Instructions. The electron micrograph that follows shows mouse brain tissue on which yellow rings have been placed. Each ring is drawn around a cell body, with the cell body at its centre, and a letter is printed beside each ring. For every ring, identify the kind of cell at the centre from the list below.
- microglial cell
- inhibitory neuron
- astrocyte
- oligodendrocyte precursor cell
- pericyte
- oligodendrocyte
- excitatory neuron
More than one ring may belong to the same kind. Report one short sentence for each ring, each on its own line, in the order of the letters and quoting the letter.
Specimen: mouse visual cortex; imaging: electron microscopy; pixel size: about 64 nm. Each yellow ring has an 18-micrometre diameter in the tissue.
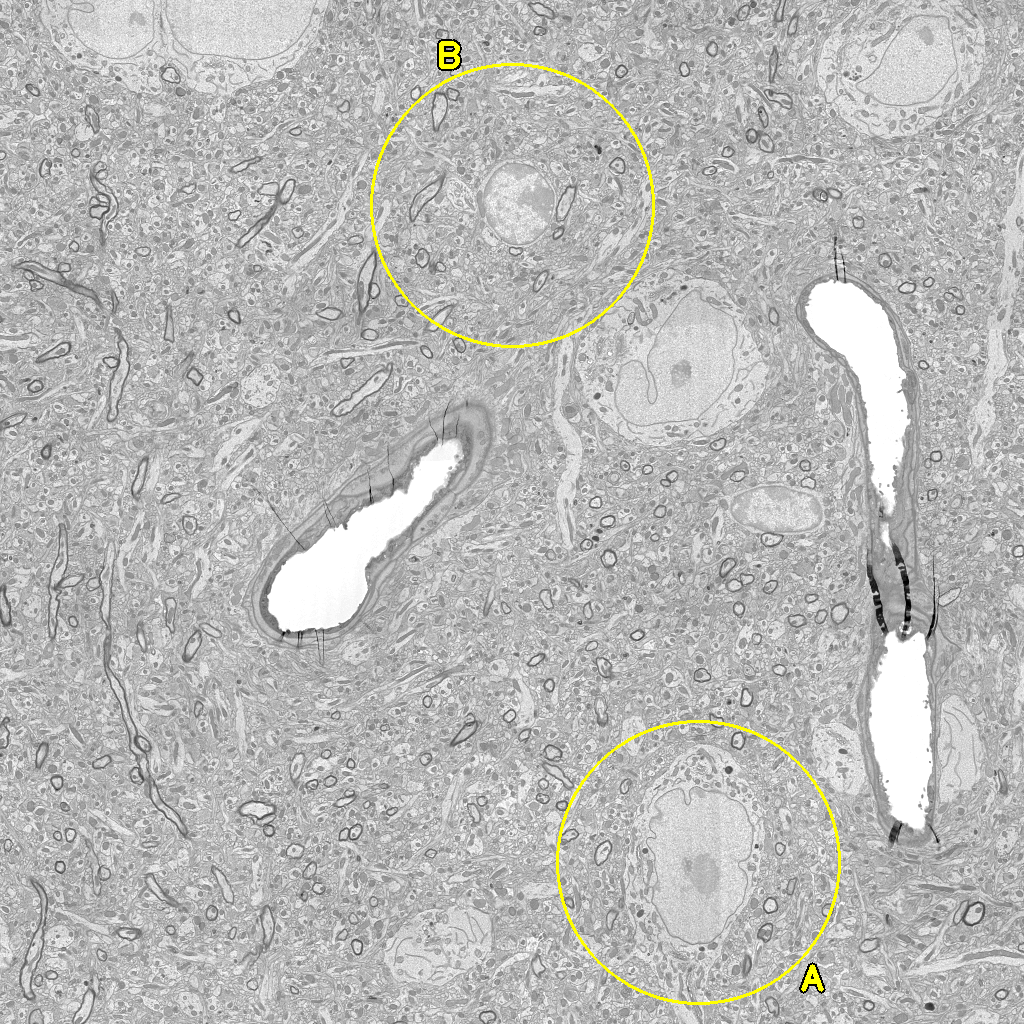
The centre of ring A is occupied by an inhibitory neuron.
The centre of ring B is occupied by an oligodendrocyte.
